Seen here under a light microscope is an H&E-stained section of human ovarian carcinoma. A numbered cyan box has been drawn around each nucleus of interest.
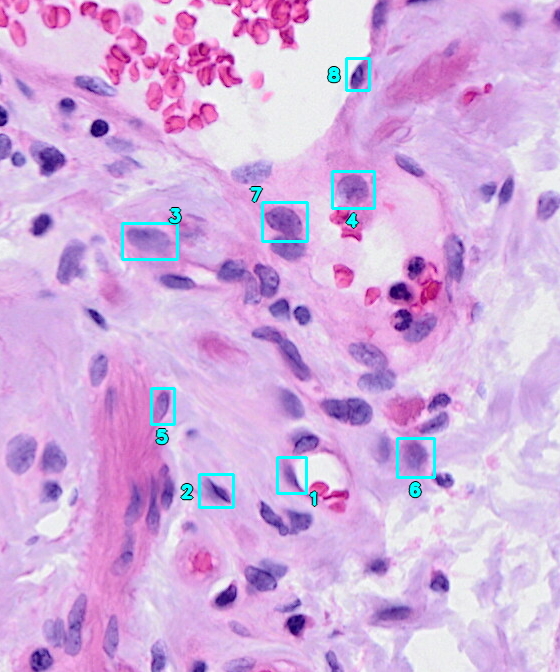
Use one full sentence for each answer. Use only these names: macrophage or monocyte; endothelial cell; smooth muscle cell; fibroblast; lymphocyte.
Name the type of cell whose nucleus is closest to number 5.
It is a lymphocyte whose nucleus is nearest to number 5.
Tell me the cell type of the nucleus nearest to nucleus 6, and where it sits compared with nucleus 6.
A fibroblast lies closest, to the left of nucleus 6.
